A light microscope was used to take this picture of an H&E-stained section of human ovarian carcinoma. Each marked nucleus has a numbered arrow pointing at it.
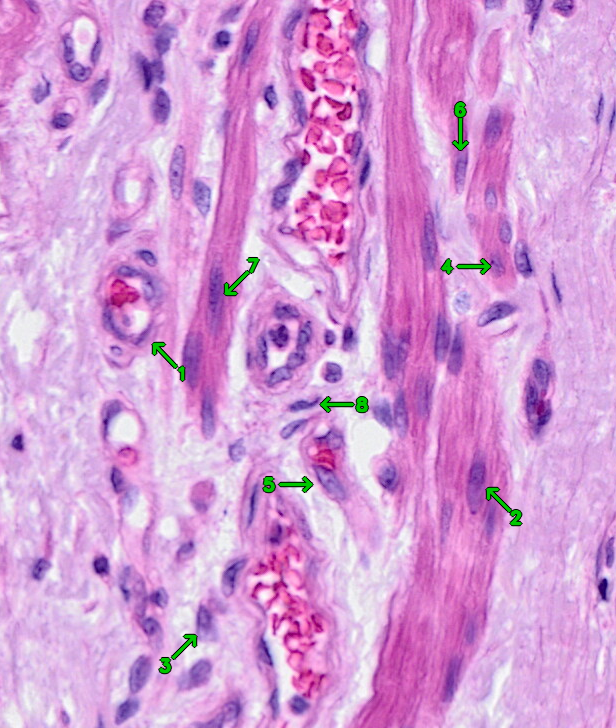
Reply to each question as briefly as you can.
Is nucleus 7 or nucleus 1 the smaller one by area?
1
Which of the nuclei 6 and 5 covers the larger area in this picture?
5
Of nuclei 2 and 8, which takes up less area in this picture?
8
